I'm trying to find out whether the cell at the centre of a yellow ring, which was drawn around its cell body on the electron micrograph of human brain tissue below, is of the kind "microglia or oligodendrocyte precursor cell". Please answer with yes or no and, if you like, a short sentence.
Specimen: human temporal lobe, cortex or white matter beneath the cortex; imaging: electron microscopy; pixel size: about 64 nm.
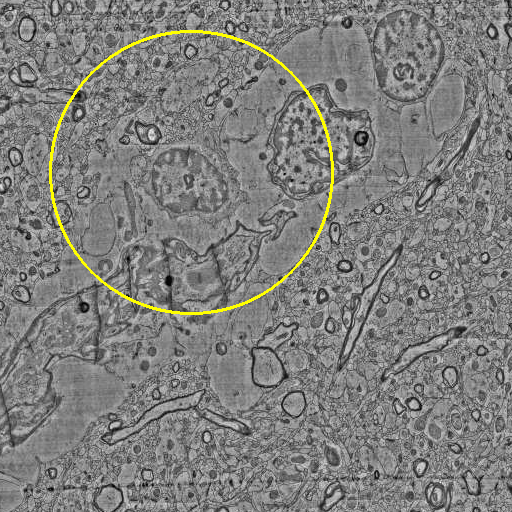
No, that cell is of another kind.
